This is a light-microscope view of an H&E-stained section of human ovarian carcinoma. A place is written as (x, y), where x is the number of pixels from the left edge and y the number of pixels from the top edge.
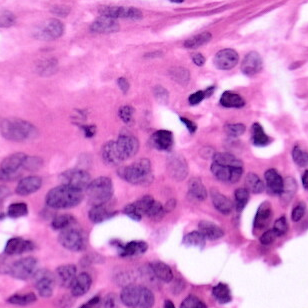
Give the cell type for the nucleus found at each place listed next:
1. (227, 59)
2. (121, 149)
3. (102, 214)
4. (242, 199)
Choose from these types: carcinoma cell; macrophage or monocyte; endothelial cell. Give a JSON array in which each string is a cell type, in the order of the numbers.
["macrophage or monocyte", "carcinoma cell", "carcinoma cell", "carcinoma cell"]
